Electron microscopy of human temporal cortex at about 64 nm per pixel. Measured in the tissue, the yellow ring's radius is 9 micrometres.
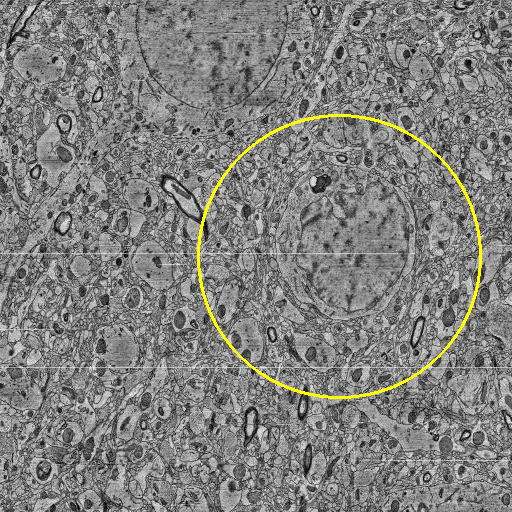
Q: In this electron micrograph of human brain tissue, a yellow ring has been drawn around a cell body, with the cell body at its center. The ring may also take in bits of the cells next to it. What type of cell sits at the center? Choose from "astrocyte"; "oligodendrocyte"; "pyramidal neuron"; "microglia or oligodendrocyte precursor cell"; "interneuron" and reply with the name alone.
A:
interneuron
